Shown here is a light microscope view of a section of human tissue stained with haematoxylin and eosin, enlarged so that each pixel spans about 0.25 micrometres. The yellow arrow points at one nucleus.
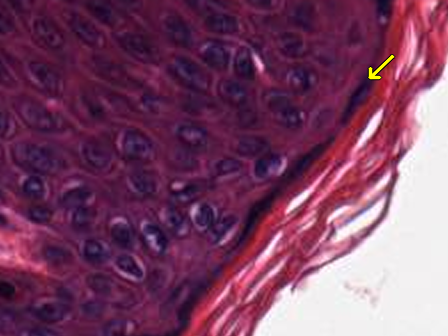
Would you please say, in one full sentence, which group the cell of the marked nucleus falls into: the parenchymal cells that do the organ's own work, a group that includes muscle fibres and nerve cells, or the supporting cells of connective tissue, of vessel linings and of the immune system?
Seen here, the marked nucleus belongs to a parenchymal cell, namely a keratinocyte.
